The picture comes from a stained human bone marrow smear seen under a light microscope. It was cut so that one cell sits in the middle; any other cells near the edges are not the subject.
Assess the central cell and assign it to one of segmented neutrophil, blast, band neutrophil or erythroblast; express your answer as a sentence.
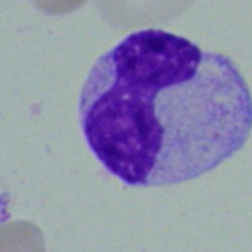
The cell in the exact centre of the crop is a band neutrophil.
